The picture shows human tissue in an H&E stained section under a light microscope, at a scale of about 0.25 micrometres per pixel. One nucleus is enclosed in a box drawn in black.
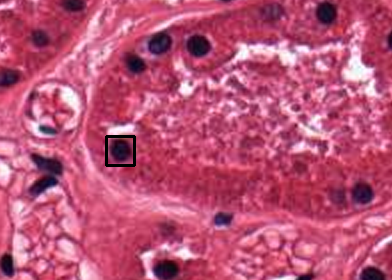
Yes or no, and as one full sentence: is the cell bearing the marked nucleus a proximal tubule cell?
Yes, it is within a proximal tubule cell that the marked nucleus lies.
